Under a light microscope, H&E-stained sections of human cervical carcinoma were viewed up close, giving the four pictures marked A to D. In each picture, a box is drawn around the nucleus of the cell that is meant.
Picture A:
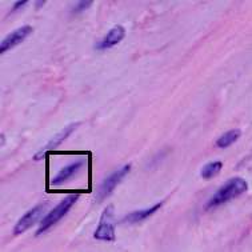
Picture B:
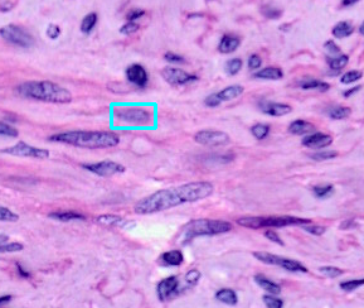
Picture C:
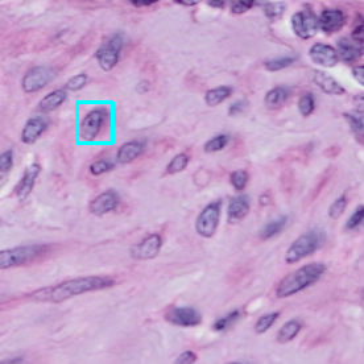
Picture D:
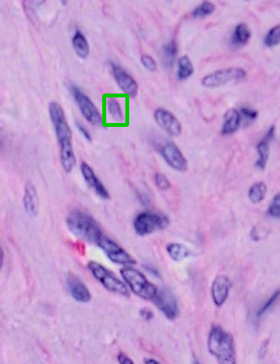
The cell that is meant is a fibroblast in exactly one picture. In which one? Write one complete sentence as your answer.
Picture A shows the fibroblast.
